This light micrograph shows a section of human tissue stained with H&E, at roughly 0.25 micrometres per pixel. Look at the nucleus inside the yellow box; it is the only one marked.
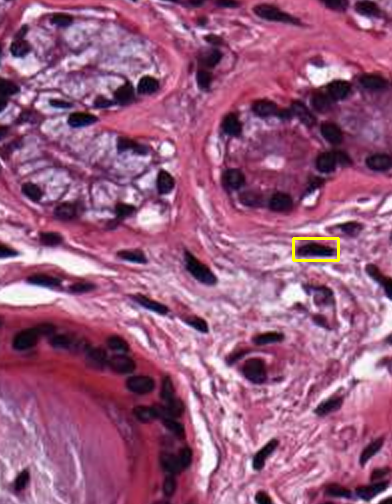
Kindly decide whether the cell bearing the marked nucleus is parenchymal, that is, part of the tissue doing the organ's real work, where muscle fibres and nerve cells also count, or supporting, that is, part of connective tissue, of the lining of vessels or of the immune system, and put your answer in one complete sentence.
The marked nucleus is counted as that of a supporting cell.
